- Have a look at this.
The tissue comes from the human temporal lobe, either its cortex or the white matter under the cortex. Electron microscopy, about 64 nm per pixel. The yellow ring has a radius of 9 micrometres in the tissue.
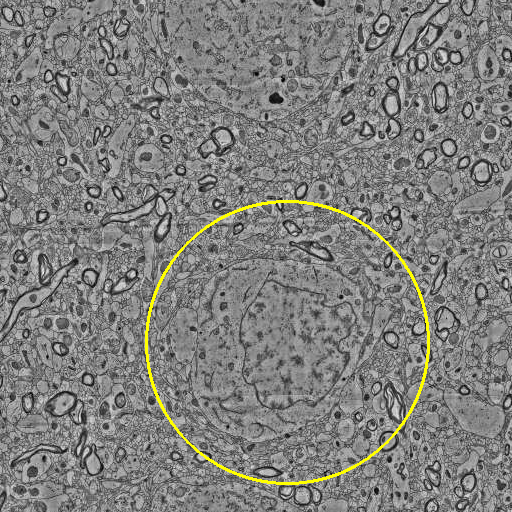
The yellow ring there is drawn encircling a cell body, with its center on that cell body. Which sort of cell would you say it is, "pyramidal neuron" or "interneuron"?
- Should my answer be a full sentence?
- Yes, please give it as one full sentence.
For this picture, a pyramidal neuron is the cell where the yellow ring has its center.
